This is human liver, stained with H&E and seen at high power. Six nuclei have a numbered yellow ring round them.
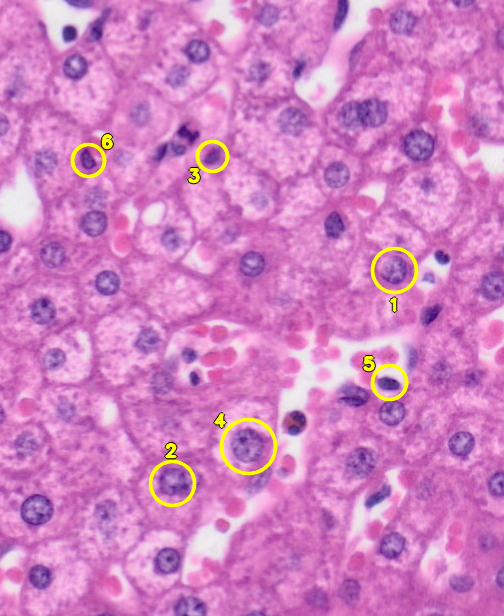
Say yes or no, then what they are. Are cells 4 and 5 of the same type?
No, cell 4 is recognized as a hepatocyte, and cell 5 as a lymphocyte.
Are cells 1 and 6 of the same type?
No, cell 1 is classed as a hepatocyte and cell 6 as a fibroblast or stellate cell.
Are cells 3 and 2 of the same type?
No, cell 3 is a fibroblast or stellate cell, but cell 2 is a hepatocyte.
